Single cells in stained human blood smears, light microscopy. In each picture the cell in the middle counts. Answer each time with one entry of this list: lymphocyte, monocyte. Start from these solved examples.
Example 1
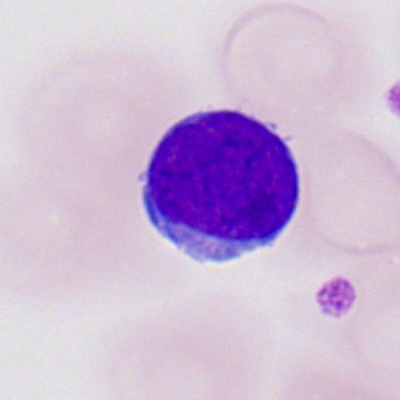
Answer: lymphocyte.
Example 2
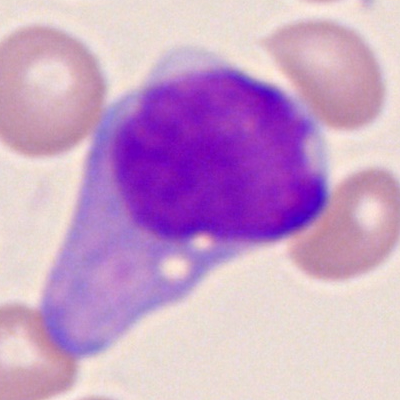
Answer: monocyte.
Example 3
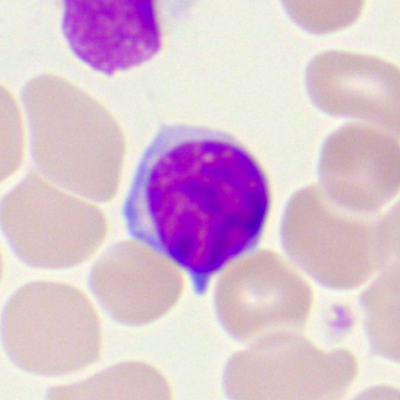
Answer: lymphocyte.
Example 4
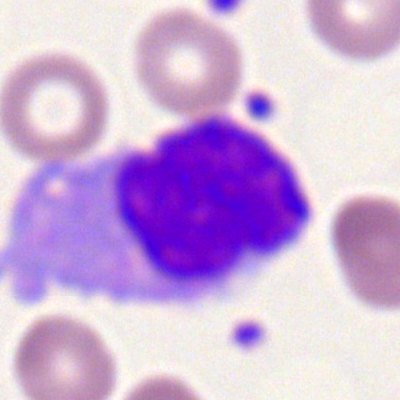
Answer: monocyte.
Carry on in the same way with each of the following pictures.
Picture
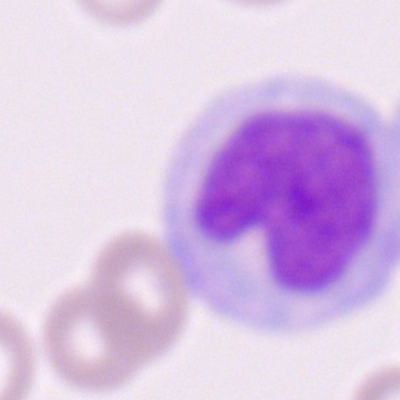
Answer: monocyte.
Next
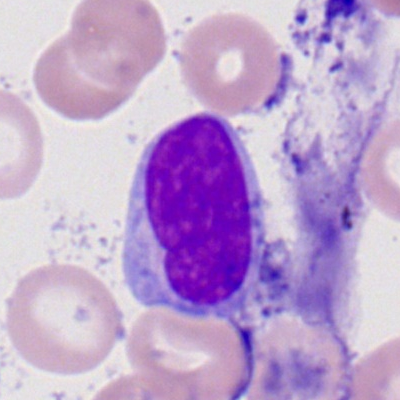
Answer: lymphocyte.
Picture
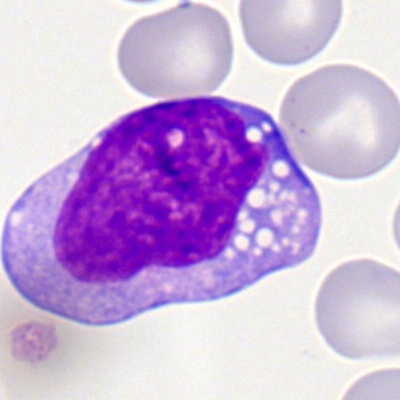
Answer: monocyte.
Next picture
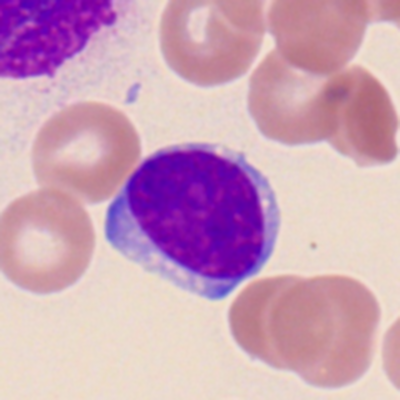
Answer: lymphocyte.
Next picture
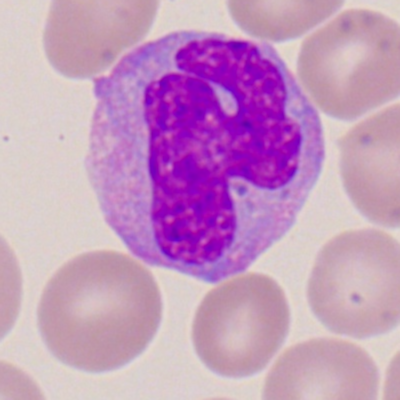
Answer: monocyte.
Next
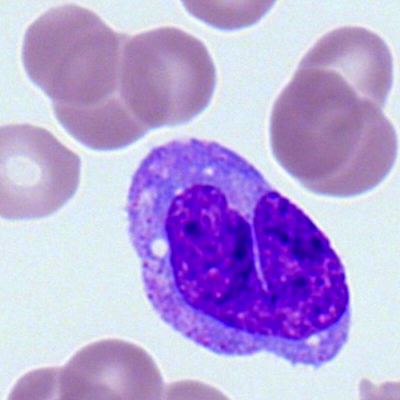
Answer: monocyte.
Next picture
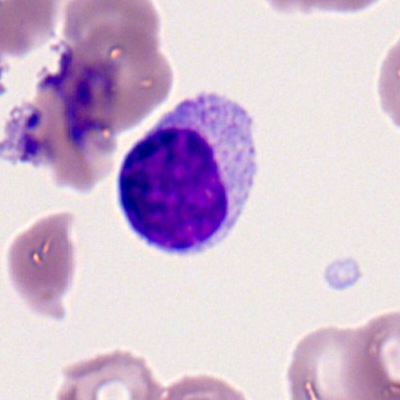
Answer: lymphocyte.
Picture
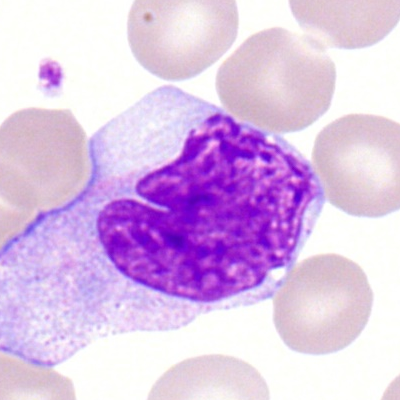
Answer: monocyte.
